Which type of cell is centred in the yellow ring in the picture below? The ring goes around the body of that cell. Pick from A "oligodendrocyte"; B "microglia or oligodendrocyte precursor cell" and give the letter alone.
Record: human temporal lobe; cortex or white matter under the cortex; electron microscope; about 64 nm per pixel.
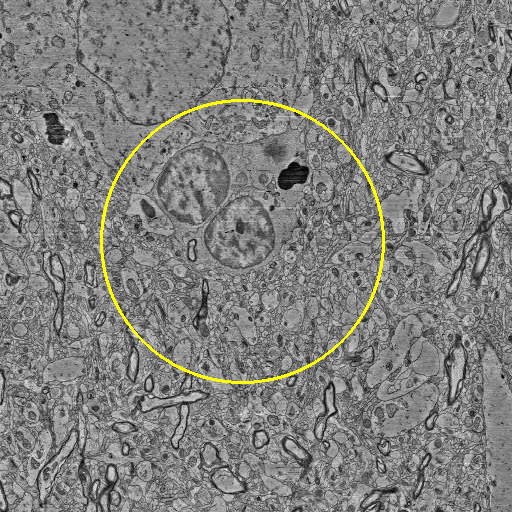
A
